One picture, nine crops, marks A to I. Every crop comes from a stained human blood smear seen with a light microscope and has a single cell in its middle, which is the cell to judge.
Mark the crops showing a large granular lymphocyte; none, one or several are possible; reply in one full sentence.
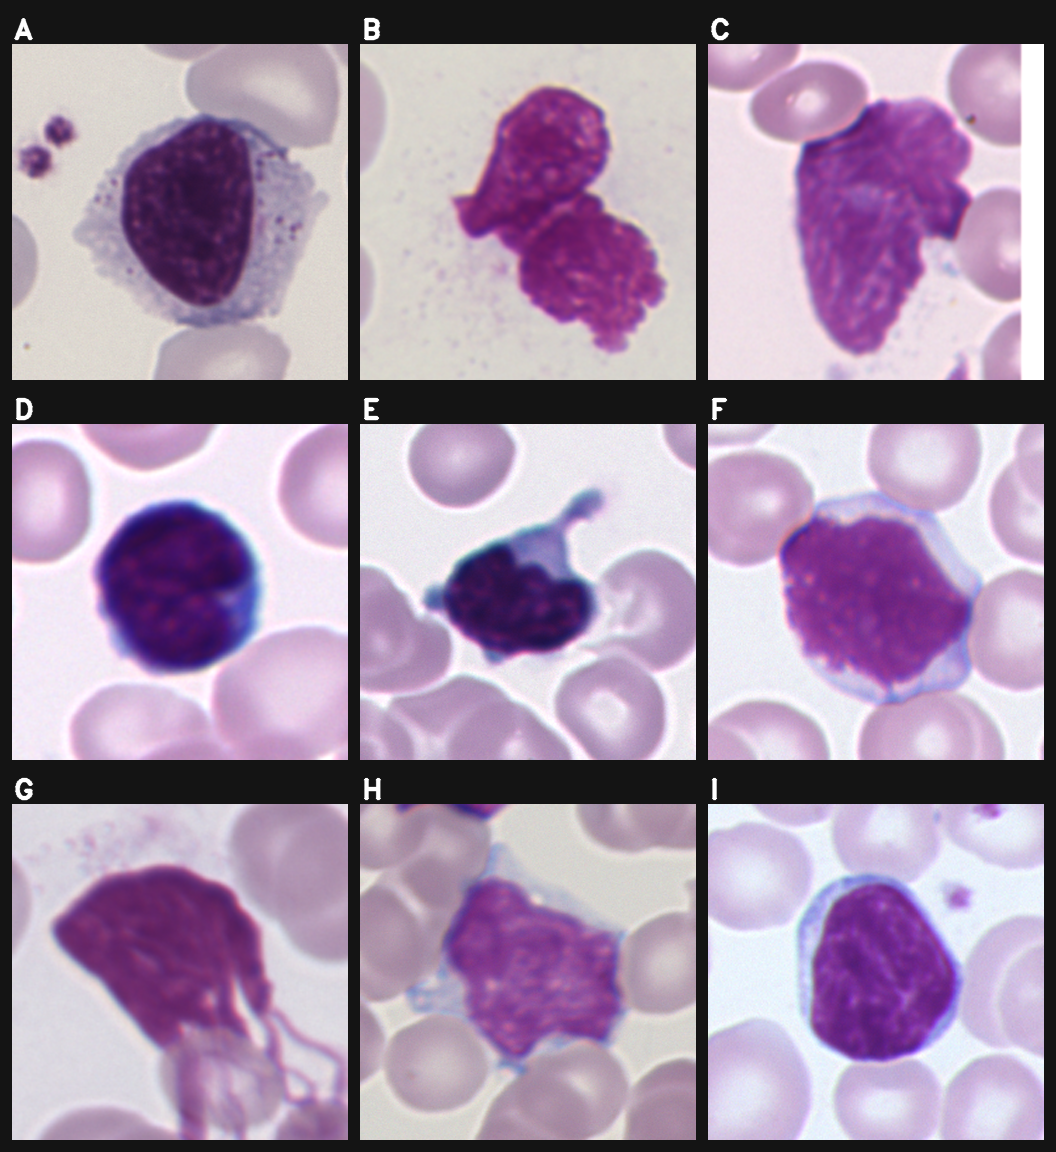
Crop A is the exclusive holder of a large granular lymphocyte in this set.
